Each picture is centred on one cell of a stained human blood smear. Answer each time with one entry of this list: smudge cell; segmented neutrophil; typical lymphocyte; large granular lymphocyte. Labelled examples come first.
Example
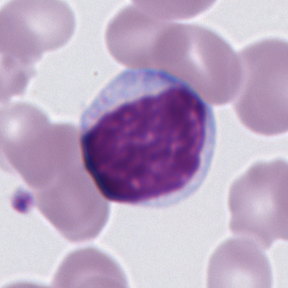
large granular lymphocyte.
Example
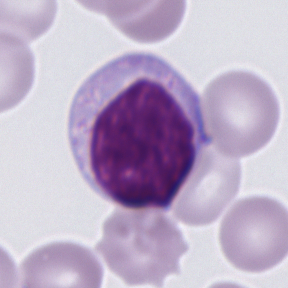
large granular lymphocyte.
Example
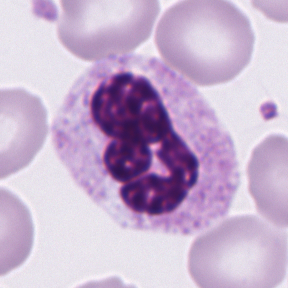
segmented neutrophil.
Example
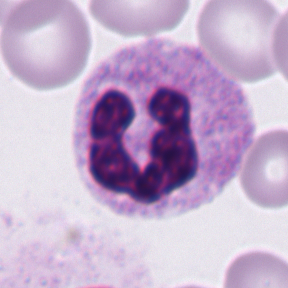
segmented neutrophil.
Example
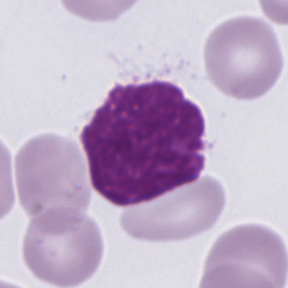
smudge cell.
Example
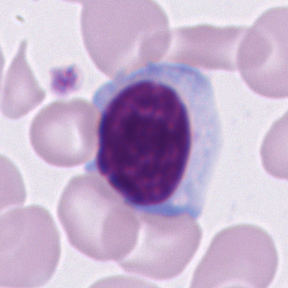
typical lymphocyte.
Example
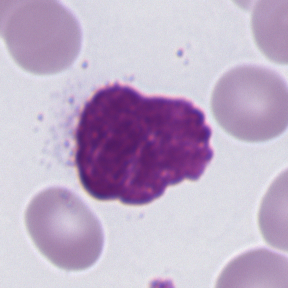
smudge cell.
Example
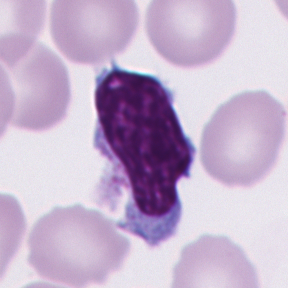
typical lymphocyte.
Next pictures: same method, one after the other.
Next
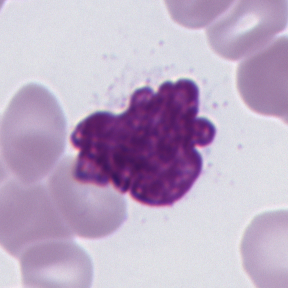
smudge cell.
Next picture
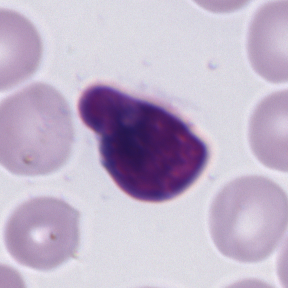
smudge cell.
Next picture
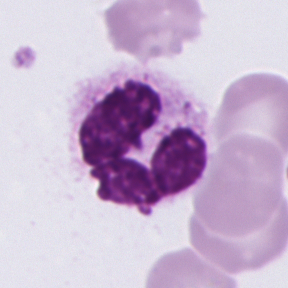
segmented neutrophil.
